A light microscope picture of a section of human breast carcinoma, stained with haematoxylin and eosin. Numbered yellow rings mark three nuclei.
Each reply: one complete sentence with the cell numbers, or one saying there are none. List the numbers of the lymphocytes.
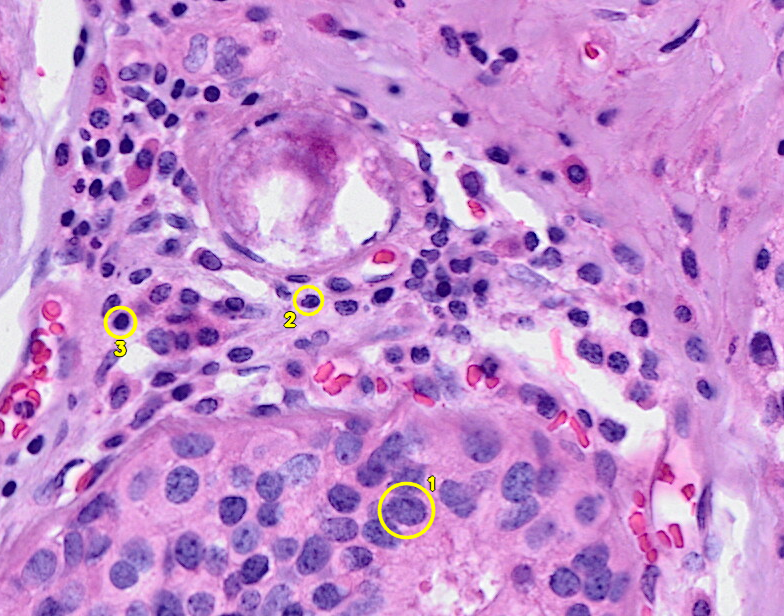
The cells tagged 2 and 3 are lymphocytes in this tissue section.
